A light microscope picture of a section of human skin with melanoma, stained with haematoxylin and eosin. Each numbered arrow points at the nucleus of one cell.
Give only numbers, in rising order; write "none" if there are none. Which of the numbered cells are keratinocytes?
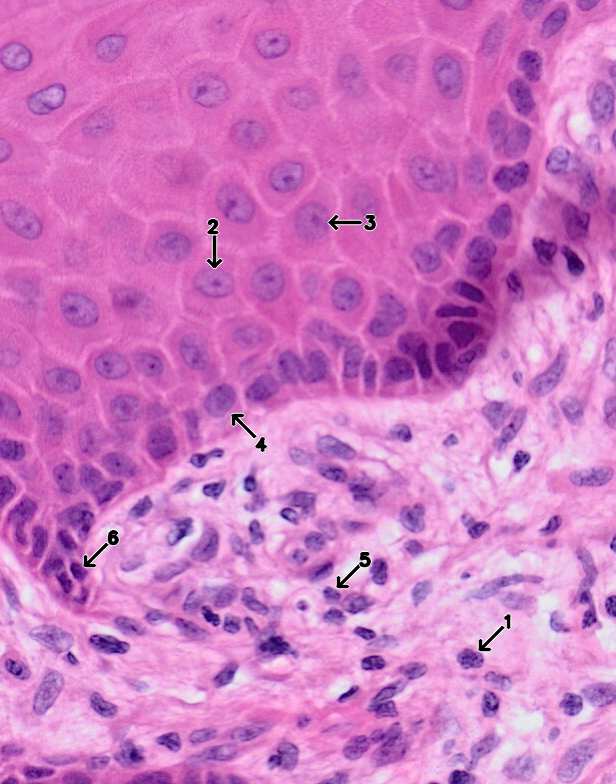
2, 3, 4, 6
